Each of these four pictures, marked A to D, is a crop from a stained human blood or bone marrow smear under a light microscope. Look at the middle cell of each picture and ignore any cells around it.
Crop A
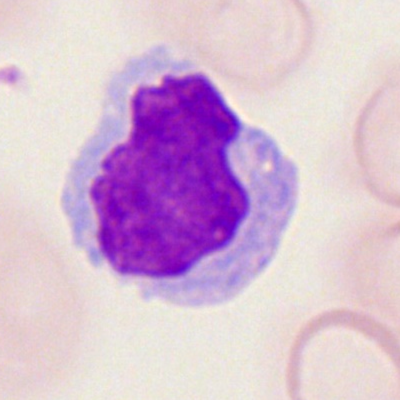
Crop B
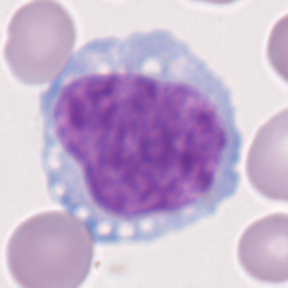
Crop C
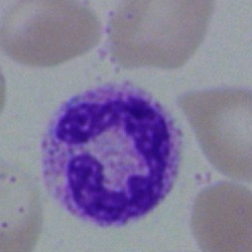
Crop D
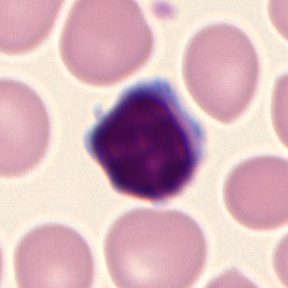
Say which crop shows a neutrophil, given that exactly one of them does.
C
